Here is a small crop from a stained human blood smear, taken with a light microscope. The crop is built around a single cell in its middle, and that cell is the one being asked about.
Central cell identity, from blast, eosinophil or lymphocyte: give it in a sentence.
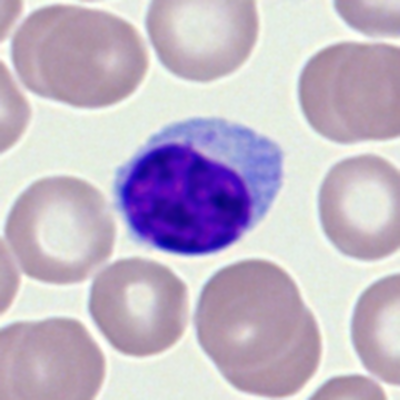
The central cell shown in this smear crop is a lymphocyte.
